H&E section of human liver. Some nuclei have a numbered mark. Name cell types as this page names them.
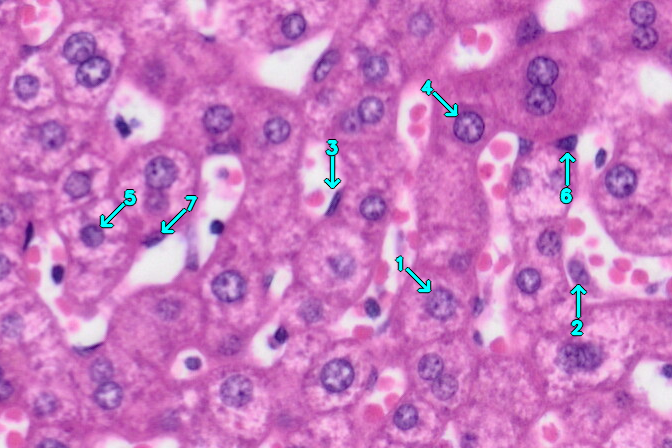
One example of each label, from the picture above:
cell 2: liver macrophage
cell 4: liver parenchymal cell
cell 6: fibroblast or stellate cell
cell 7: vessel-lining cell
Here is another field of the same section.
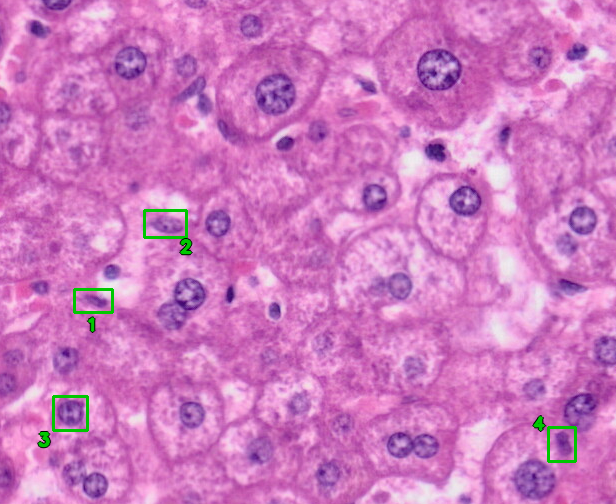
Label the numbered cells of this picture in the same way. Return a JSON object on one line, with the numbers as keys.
{"1": "vessel-lining cell", "2": "liver macrophage", "3": "liver parenchymal cell", "4": "fibroblast or stellate cell"}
